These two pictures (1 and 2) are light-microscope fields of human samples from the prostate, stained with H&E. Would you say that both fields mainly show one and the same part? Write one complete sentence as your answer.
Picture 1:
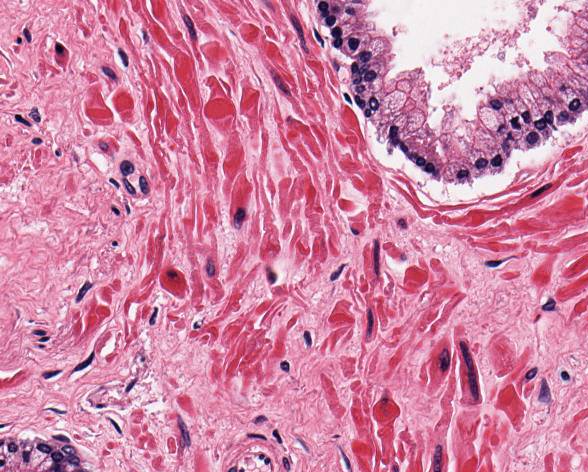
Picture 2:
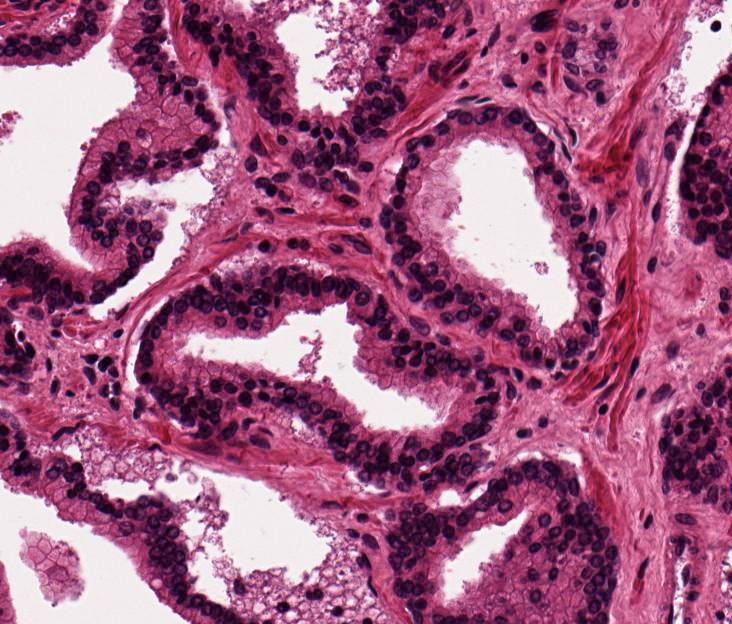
No: picture 1 mainly shows the fibromuscular stroma, but picture 2 mainly shows prostatic glands.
